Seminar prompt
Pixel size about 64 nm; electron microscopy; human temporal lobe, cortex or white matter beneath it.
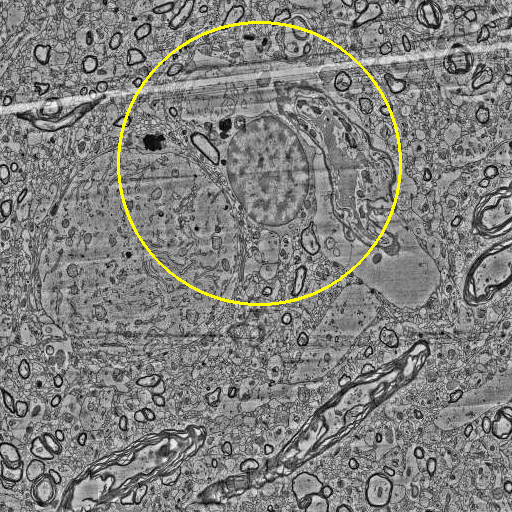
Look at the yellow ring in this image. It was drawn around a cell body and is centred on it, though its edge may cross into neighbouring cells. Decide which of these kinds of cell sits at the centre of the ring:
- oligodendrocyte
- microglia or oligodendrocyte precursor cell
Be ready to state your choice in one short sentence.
The kind of cell at the ring's centre is an oligodendrocyte.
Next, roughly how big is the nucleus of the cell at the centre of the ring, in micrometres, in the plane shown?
Approximately 7 micrometres long and 5 micrometres wide, in this plane.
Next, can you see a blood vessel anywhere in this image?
Yes, one appears.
